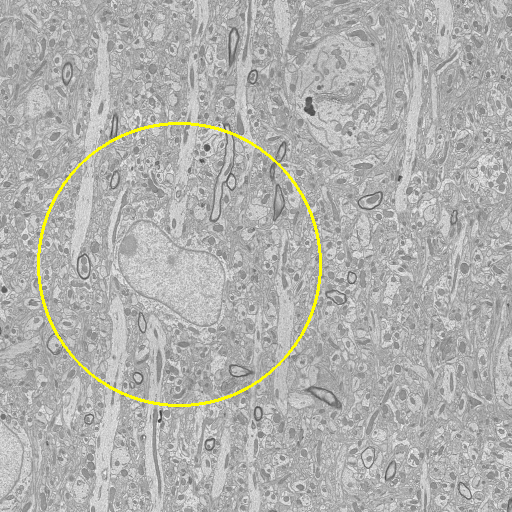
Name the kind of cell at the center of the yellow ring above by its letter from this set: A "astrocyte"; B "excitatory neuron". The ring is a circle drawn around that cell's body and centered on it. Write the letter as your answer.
A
